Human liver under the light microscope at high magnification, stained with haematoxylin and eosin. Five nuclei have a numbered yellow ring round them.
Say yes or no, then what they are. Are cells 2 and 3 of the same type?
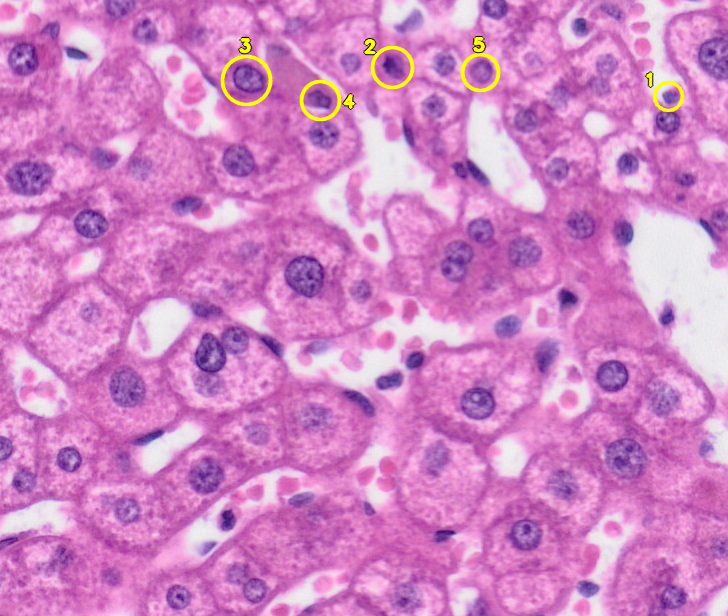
No, the cell numbered 2 is a fibroblast or stellate cell and the cell numbered 3 is a hepatocyte.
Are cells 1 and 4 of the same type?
No, while cell 1 is a lymphocyte, cell 4 is a Kupffer cell.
